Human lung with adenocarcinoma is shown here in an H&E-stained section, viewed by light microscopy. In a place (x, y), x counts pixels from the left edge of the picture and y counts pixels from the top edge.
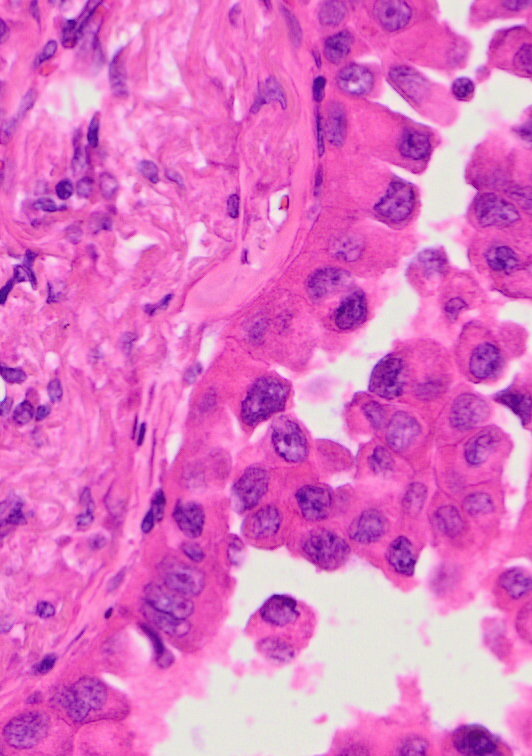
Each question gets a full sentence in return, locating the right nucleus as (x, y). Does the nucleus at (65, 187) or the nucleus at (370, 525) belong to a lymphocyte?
At (65, 187) lies the nucleus that belongs to a lymphocyte.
